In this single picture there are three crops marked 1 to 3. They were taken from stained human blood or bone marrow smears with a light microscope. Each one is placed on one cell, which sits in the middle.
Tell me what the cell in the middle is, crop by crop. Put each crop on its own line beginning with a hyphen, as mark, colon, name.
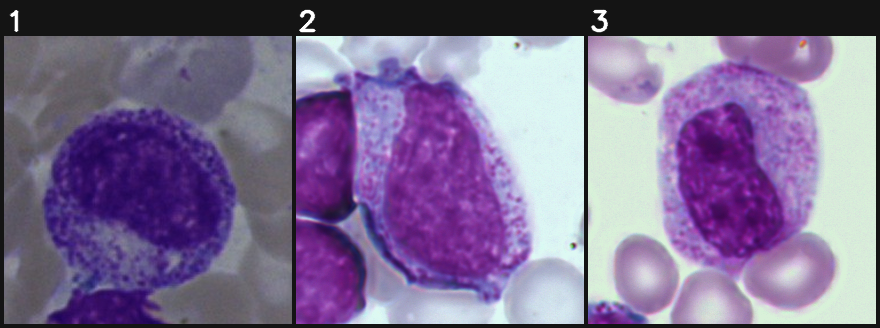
- 1: myelocyte
- 2: promyelocyte
- 3: myelocyte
